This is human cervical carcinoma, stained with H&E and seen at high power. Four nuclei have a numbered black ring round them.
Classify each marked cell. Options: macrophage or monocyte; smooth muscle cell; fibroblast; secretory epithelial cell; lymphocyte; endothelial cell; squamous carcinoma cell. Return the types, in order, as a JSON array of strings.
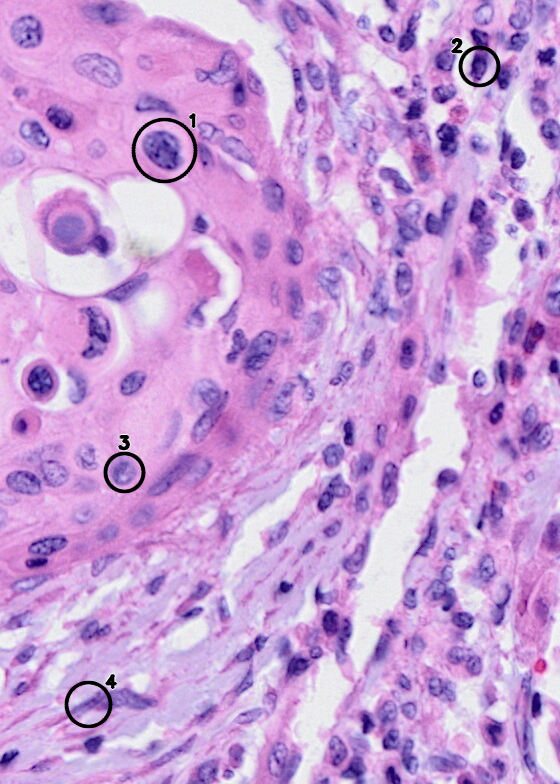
["squamous carcinoma cell", "lymphocyte", "squamous carcinoma cell", "fibroblast"]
